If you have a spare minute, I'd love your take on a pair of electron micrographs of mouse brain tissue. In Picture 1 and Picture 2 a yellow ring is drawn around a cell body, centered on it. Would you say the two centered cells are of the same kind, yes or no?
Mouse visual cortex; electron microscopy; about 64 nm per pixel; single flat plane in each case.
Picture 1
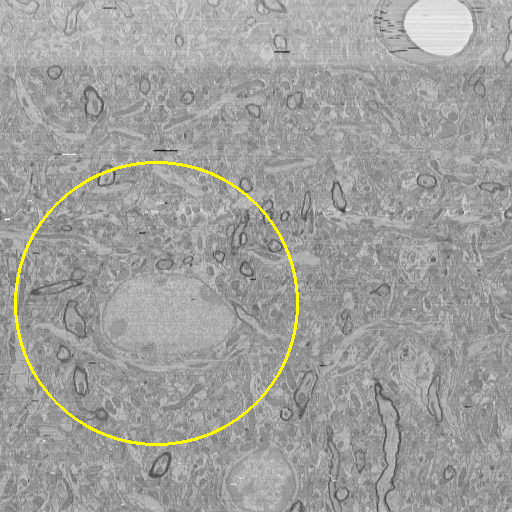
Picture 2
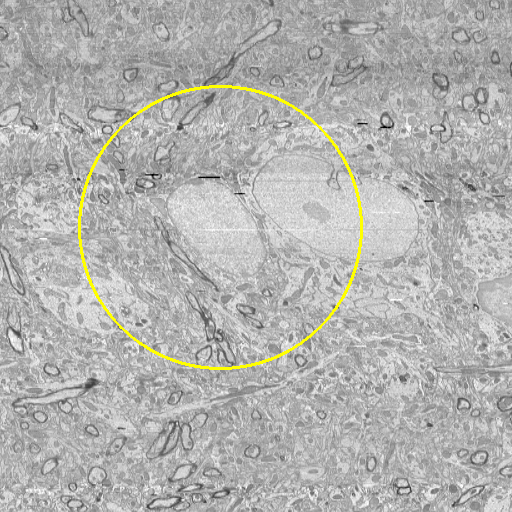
yes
